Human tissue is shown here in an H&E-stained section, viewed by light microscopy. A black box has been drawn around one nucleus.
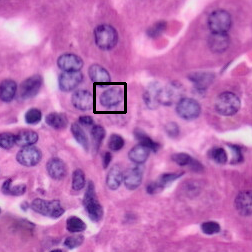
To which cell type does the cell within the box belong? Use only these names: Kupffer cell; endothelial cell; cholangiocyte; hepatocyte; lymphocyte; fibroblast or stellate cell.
cholangiocyte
